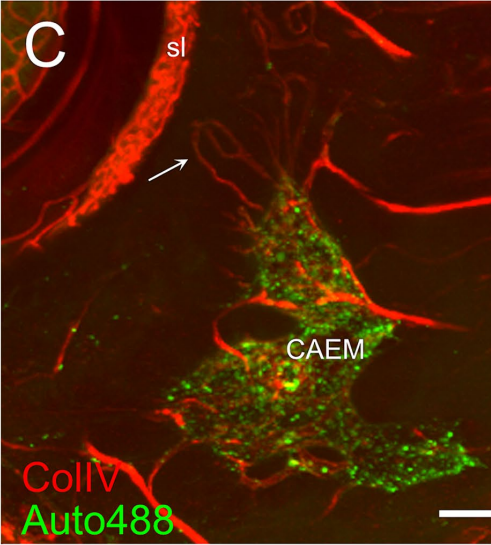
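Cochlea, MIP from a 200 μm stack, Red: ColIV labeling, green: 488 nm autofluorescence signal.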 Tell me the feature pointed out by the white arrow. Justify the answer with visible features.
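A thin red tube bends back to form a closed loop at the arrow. The loop lies between the green-speckled mass and the broad red curved band.
Conclusion: Vascular loops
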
